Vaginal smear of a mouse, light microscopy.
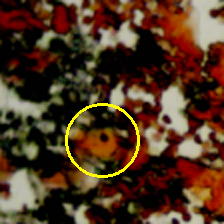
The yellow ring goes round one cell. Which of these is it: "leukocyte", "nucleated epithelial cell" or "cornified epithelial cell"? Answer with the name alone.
nucleated epithelial cell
